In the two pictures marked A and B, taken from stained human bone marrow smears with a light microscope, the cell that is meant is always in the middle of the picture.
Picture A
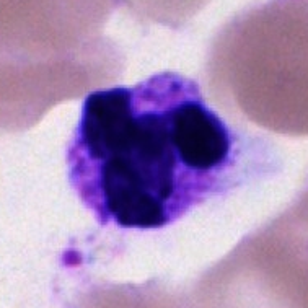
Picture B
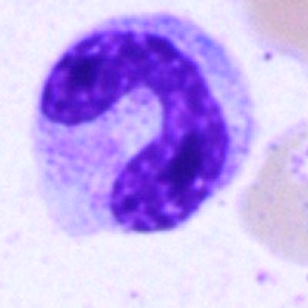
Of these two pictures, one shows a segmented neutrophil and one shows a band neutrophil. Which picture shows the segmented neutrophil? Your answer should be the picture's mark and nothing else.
A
